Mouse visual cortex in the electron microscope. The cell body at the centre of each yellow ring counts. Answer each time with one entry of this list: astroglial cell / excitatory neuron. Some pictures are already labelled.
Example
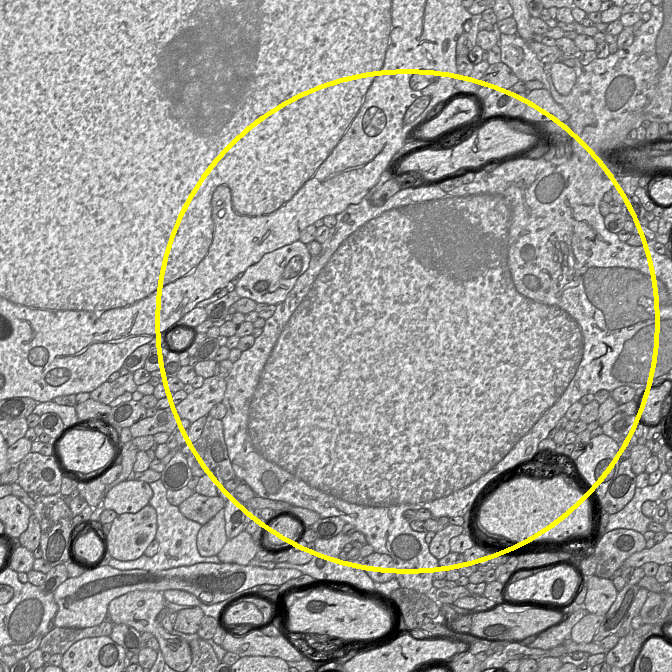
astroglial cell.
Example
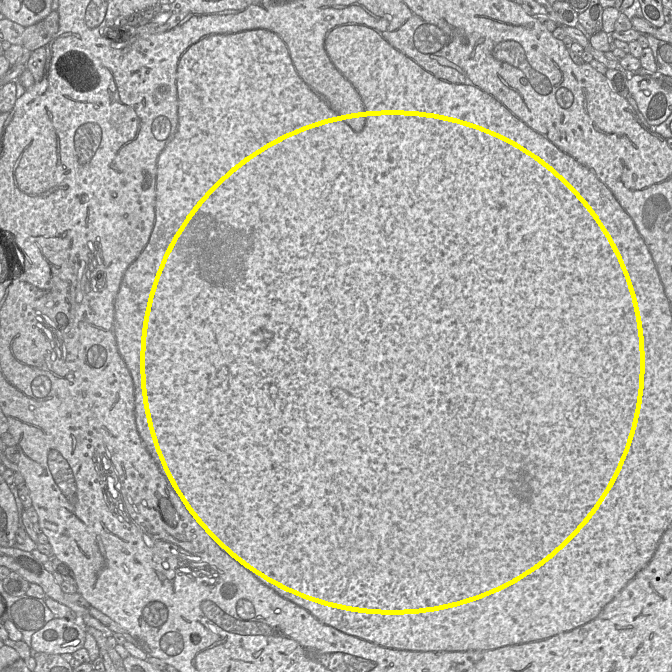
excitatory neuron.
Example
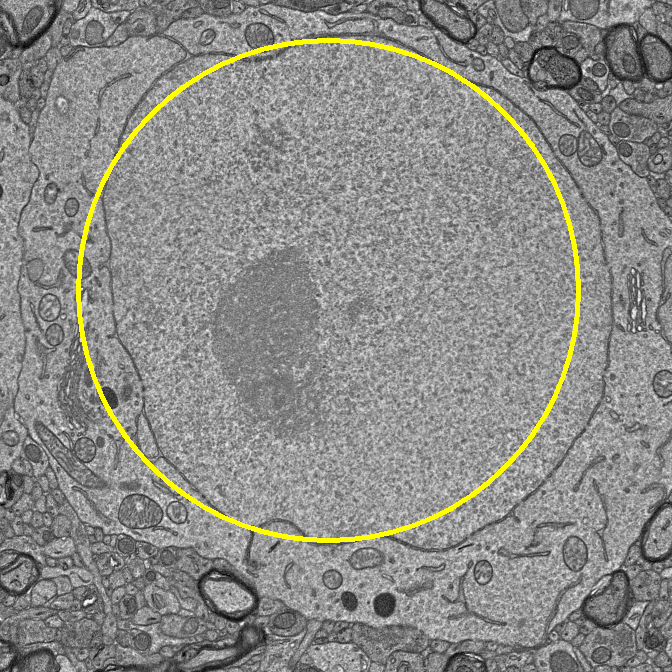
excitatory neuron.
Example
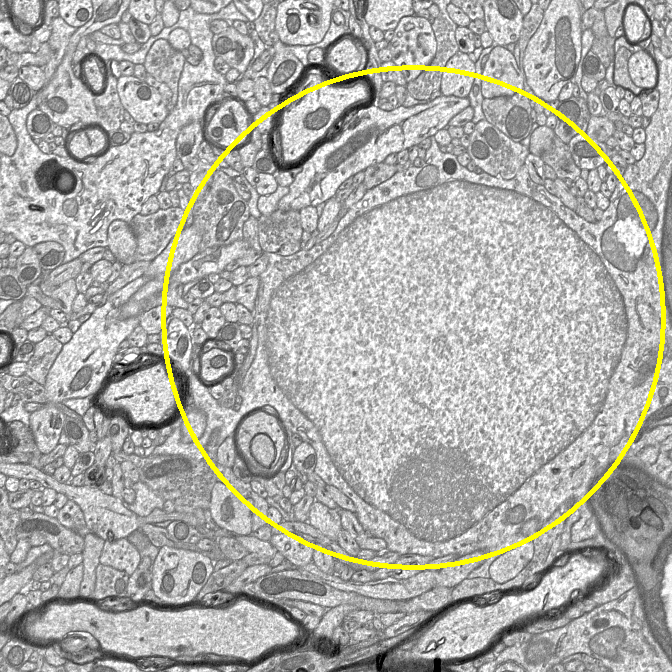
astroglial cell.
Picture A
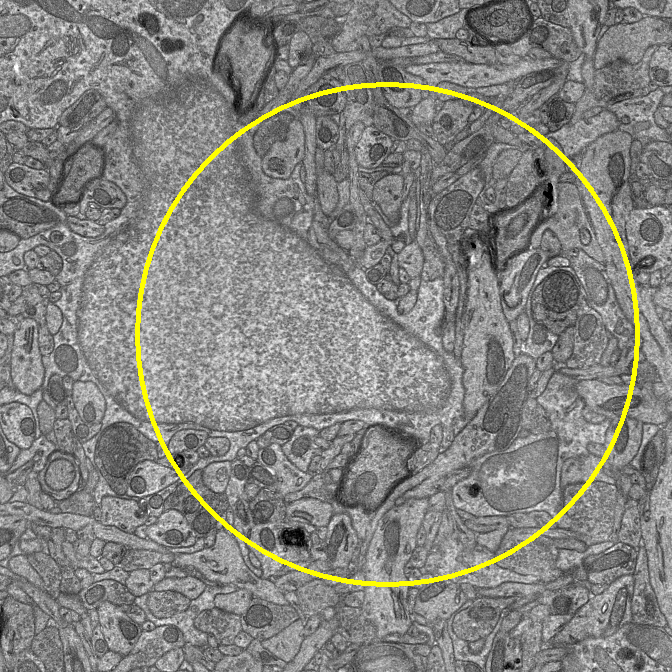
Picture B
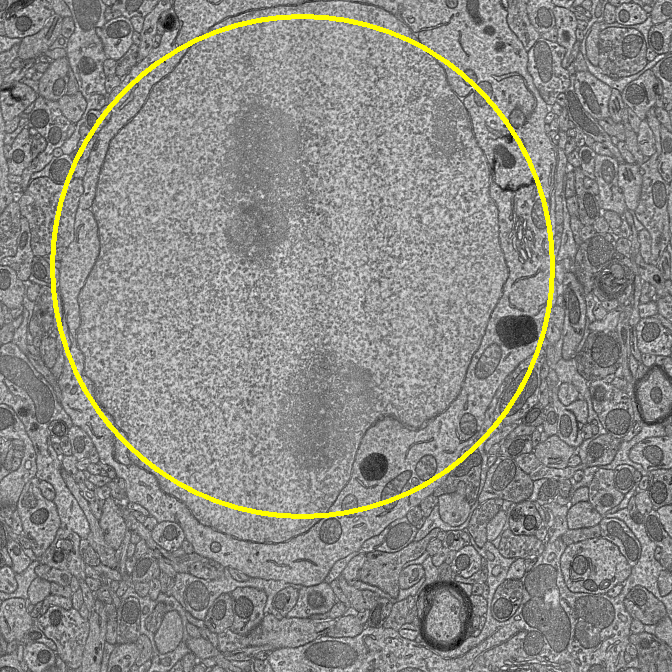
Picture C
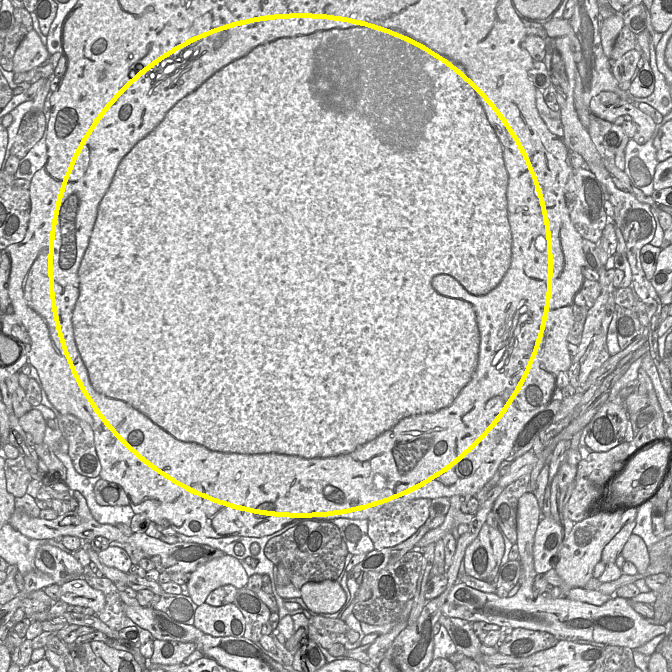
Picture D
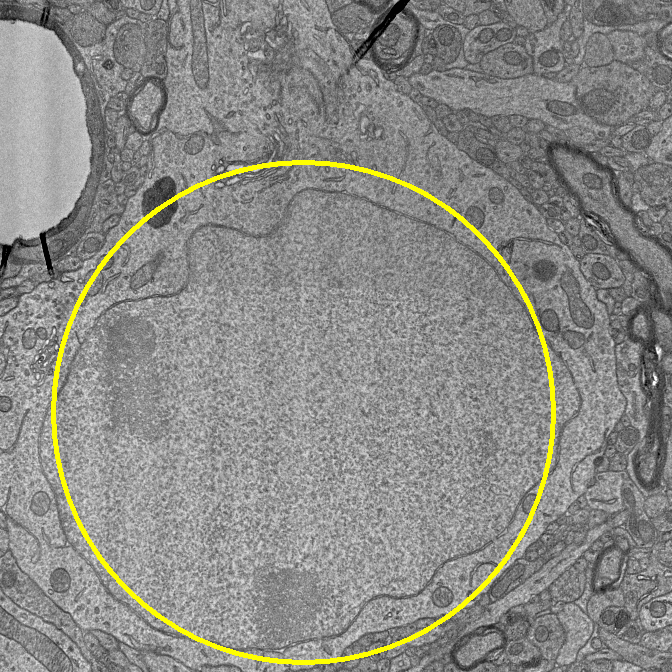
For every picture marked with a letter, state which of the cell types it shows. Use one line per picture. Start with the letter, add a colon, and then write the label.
A: astroglial cell.
B: excitatory neuron.
C: excitatory neuron.
D: excitatory neuron.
